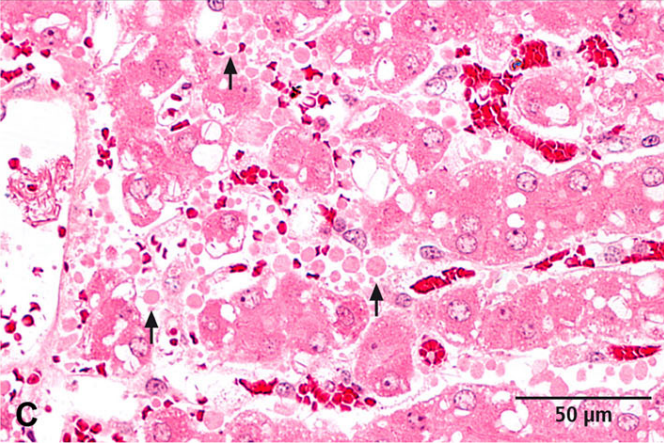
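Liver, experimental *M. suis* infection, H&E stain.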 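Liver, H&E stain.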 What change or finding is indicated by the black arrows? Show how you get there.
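Globular hyaline microthrombi. The arrows point to small round pale pink homogeneous globules. The globules lie in the spaces between hepatocyte cords among red blood cells.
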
